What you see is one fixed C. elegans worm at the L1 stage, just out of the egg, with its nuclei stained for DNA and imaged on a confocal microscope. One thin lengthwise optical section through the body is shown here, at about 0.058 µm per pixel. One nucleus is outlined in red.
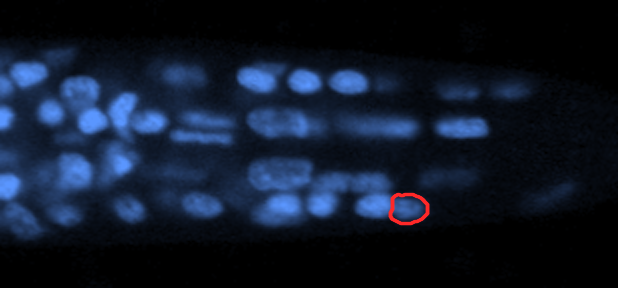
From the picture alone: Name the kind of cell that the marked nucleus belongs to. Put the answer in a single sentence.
What is marked is the nucleus of a hypodermal cell (hyp).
